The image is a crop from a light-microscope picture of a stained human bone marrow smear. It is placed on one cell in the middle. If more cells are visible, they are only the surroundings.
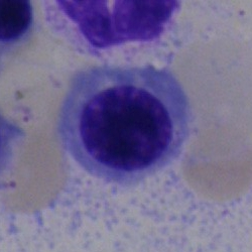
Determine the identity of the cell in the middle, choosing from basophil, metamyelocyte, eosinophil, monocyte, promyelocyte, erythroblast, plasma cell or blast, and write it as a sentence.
The cell positioned in the middle of the field is an erythroblast.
